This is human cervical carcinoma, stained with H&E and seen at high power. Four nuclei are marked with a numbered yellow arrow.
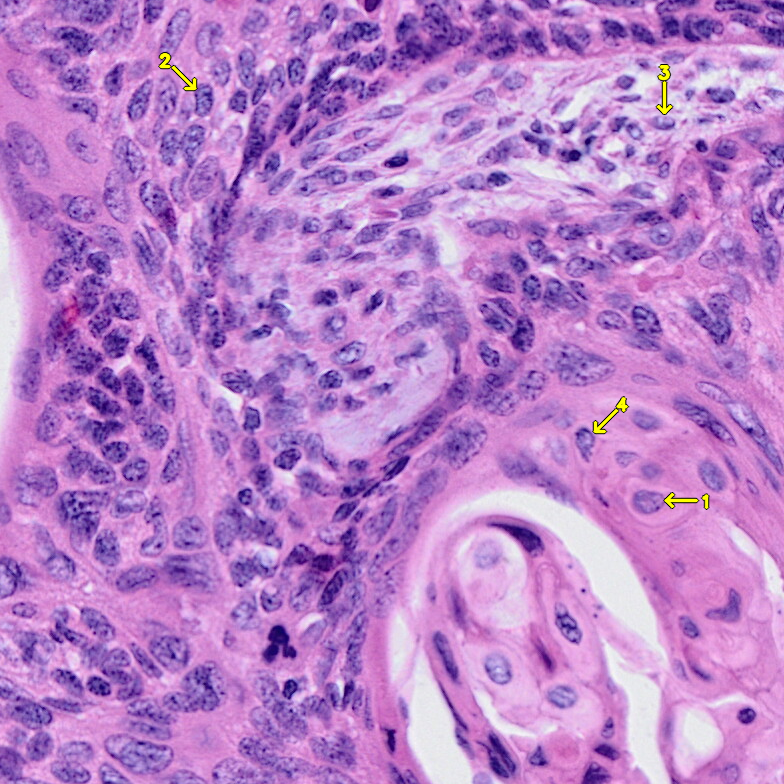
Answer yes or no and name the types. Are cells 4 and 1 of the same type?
Yes, the two numbered cells 4 and 1 are both squamous carcinoma cells.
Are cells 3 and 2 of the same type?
No, cell 3 is a fibroblast and cell 2, for its part, is a squamous carcinoma cell.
